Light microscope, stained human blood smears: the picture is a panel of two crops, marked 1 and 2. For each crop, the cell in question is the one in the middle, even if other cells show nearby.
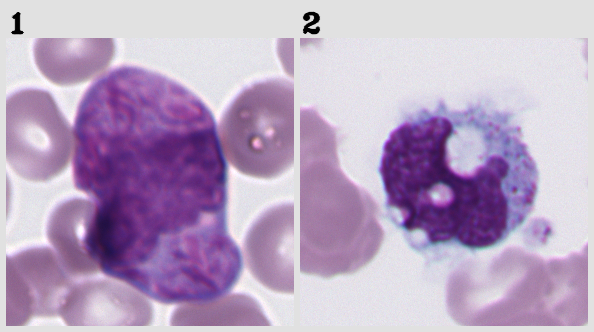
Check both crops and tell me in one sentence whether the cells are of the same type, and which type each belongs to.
No, crop 1 shows an atypical promyelocyte, and it is crop 2 that shows a monocyte.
